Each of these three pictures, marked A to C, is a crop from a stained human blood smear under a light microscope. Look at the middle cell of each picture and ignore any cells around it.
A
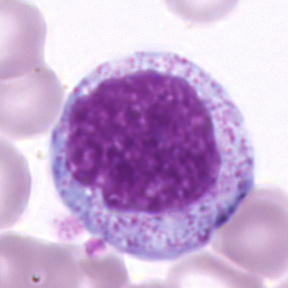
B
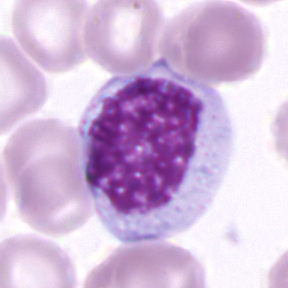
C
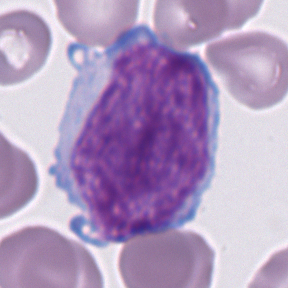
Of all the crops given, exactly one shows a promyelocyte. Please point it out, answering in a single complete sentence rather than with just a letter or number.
Among the crops provided, a promyelocyte occupies the center of crop A.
